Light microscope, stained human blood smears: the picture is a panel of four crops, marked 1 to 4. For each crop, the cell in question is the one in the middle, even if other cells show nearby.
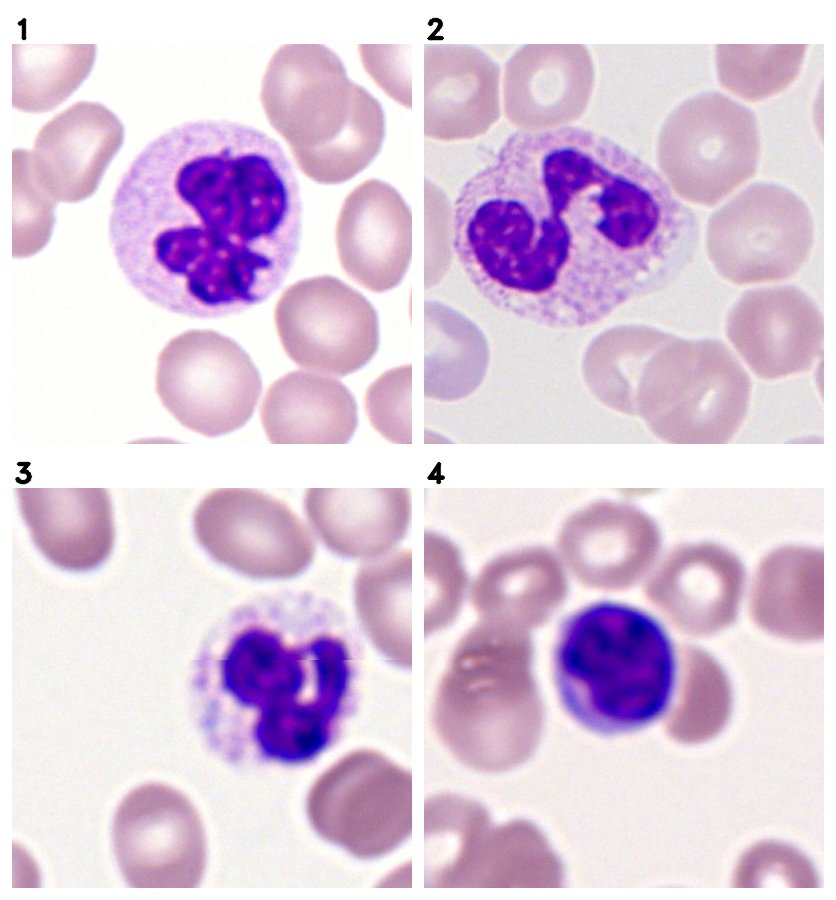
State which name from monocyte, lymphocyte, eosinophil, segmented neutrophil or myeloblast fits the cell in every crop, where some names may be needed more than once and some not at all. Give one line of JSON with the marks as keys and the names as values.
{"1": "segmented neutrophil", "2": "segmented neutrophil", "3": "segmented neutrophil", "4": "lymphocyte"}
